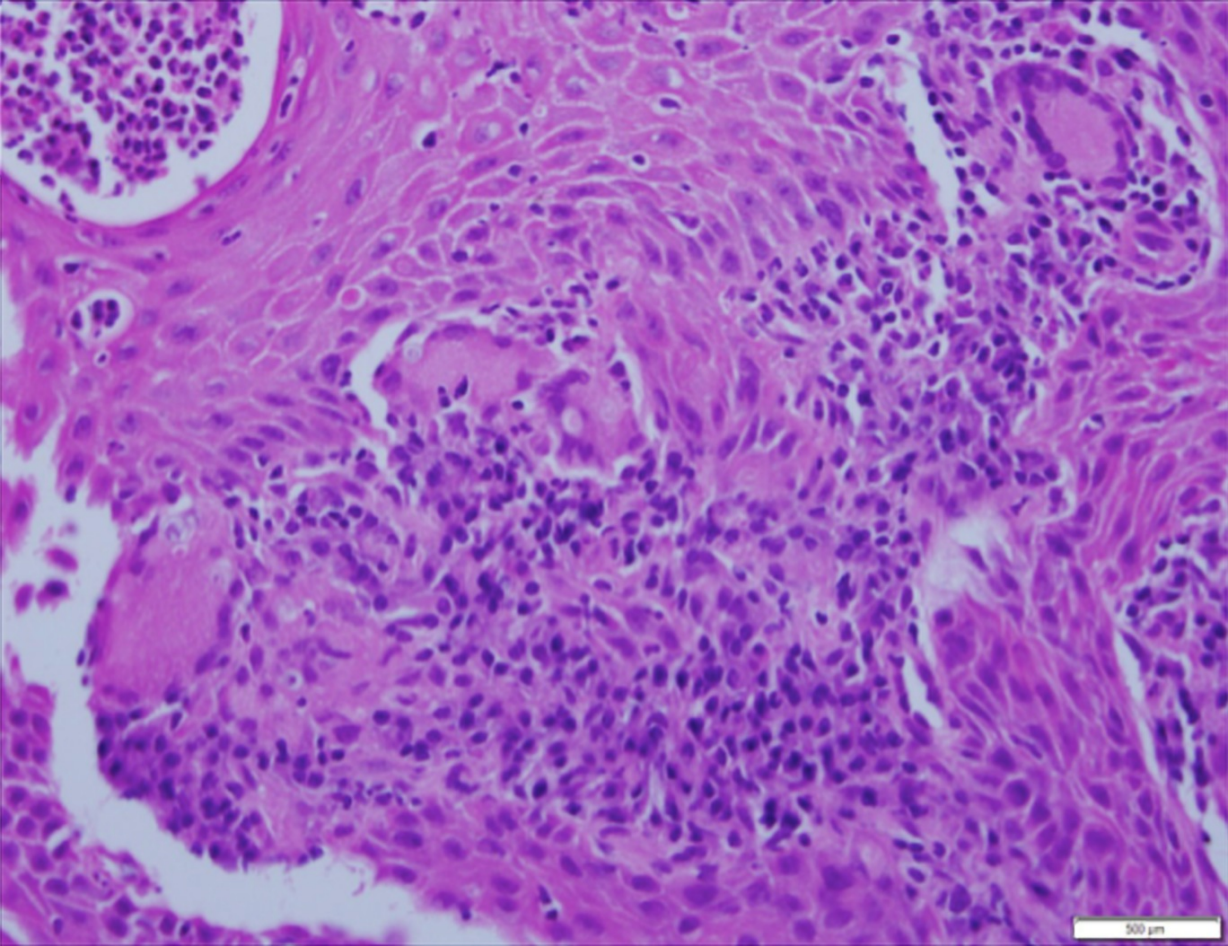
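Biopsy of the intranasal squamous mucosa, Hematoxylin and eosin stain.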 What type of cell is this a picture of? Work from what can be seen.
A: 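Giant cells. Several very large cells with abundant pink cytoplasm stand out among much smaller cells. These large cells lie at the upper right, upper centre and lower left of the field. Some of the large cells have several nuclei gathered at their edge.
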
